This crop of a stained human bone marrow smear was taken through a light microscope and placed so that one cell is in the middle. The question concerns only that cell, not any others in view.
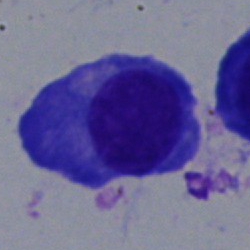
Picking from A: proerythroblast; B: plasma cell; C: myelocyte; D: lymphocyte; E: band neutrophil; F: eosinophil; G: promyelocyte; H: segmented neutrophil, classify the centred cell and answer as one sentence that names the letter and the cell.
Option B is to be chosen, as the central cell is a plasma cell.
